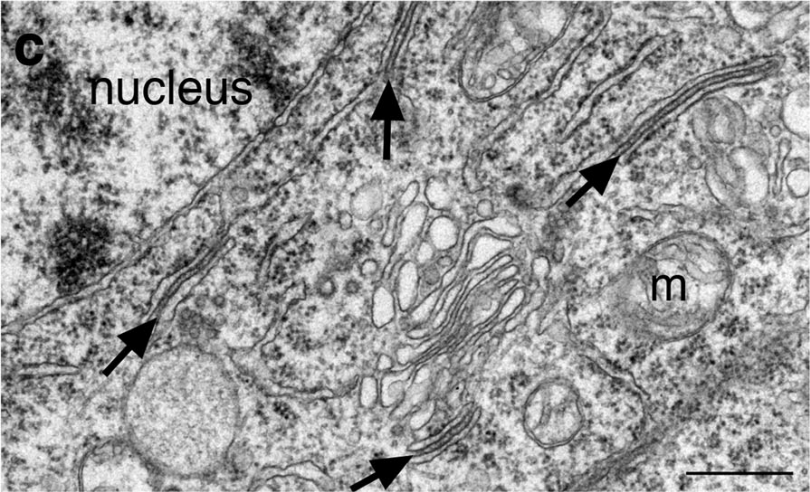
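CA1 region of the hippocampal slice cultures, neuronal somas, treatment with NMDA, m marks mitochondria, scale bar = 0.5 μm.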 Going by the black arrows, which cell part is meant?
Cisternal stacks.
